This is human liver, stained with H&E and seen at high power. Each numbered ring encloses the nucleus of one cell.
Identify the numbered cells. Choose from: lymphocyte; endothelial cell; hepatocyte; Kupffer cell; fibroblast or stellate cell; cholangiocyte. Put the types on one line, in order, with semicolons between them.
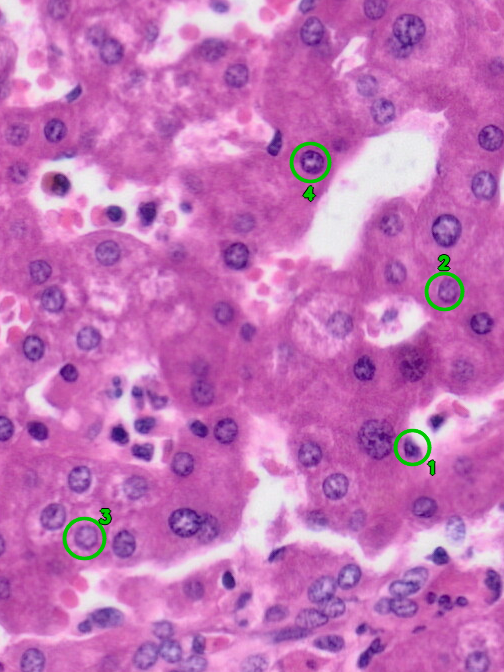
fibroblast or stellate cell; hepatocyte; hepatocyte; hepatocyte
